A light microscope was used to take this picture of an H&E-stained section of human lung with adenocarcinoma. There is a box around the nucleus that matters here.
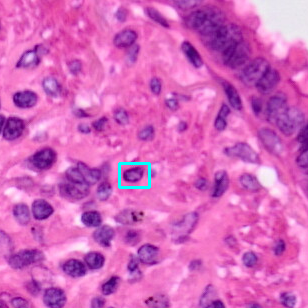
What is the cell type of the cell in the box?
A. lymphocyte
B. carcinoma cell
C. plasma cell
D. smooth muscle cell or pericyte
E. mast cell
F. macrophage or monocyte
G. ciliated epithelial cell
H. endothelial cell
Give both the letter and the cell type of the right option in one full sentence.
Option E is correct in stating that the cell in the box is a mast cell.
